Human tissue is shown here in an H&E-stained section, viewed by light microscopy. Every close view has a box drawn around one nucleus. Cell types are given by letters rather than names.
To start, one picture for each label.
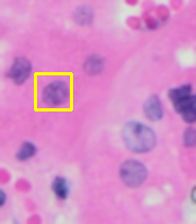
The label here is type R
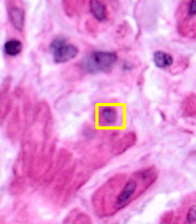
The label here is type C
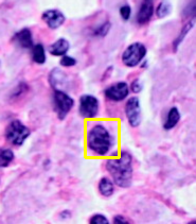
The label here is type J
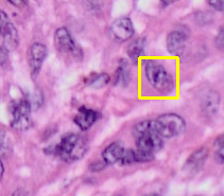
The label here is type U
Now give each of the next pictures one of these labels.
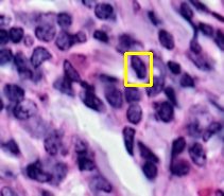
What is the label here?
type J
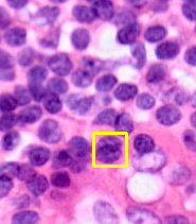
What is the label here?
type J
